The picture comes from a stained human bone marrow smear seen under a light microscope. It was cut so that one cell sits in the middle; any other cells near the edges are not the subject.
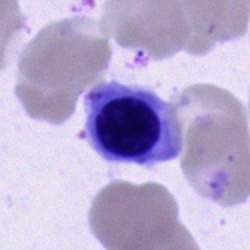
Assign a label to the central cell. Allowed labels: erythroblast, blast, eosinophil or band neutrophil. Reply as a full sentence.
In the central position of this crop, the cell is an erythroblast.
